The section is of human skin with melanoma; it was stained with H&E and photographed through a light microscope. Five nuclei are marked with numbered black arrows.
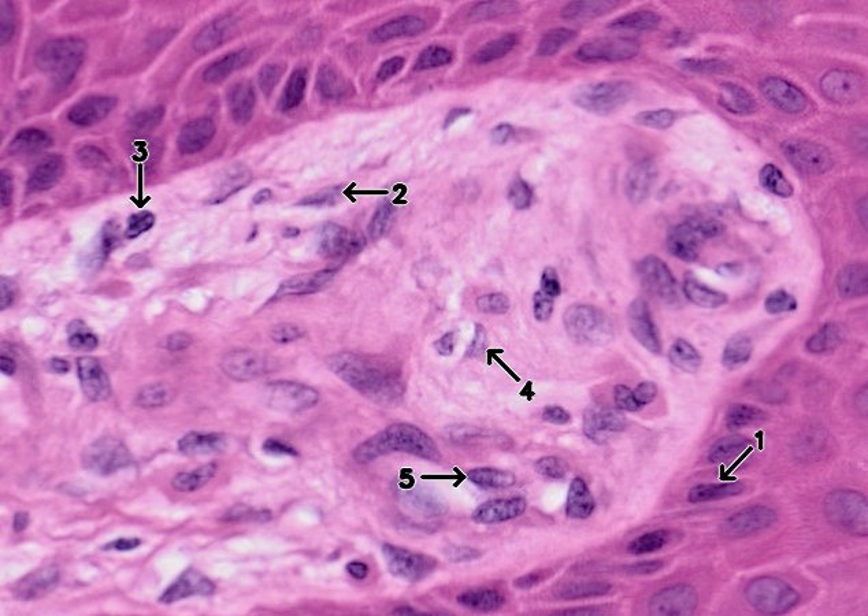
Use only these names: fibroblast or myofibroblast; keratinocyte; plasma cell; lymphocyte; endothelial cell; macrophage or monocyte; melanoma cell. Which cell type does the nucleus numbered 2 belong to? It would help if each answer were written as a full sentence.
Among the marked cells, number 2 is a fibroblast or myofibroblast.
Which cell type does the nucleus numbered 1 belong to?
The cell pointed out by number 1 is a keratinocyte.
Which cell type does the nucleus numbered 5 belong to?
The cell tagged with 5 in this tissue section is an endothelial cell.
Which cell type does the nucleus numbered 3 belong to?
To a lymphocyte belongs the nucleus marked 3.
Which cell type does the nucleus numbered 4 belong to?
In this section, number 4 marks a fibroblast or myofibroblast.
